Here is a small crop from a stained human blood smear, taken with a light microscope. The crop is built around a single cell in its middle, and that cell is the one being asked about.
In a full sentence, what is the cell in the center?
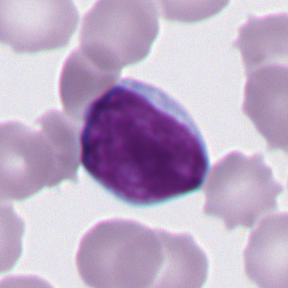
Present in the middle of the crop is a lymphocyte.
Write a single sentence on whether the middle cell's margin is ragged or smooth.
Smooth outline, no projections: that is the whole story of its edge.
